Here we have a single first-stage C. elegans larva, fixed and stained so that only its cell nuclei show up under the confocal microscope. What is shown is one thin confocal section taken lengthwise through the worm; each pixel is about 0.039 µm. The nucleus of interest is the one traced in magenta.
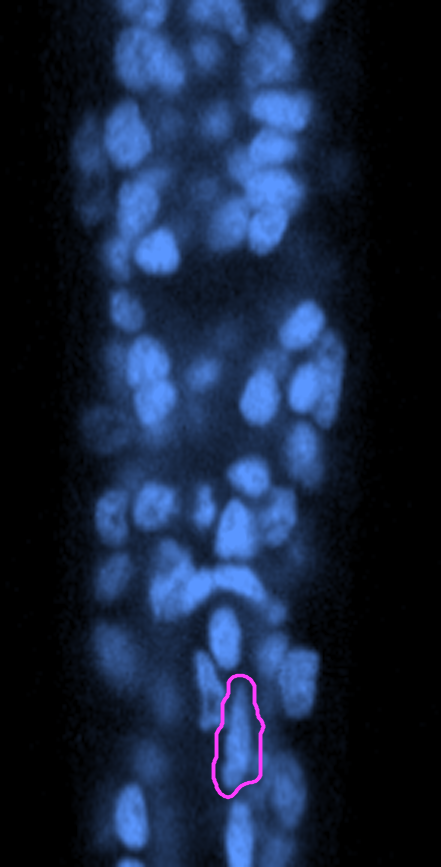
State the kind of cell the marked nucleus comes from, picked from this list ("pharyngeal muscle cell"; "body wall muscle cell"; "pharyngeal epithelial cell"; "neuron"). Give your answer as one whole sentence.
What is marked is the nucleus of a pharyngeal epithelial cell.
